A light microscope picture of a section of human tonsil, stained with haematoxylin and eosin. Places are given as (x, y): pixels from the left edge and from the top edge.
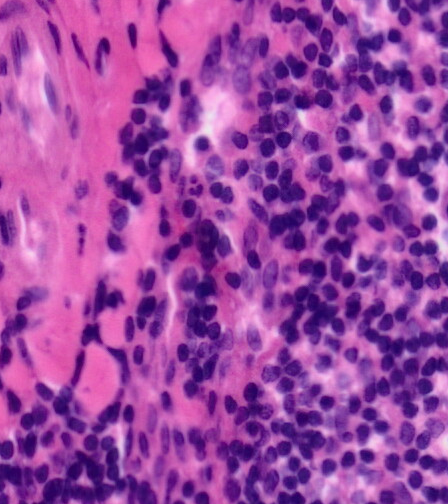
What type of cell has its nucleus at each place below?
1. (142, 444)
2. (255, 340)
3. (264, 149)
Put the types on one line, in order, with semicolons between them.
endothelial cell; endothelial cell; small lymphocyte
